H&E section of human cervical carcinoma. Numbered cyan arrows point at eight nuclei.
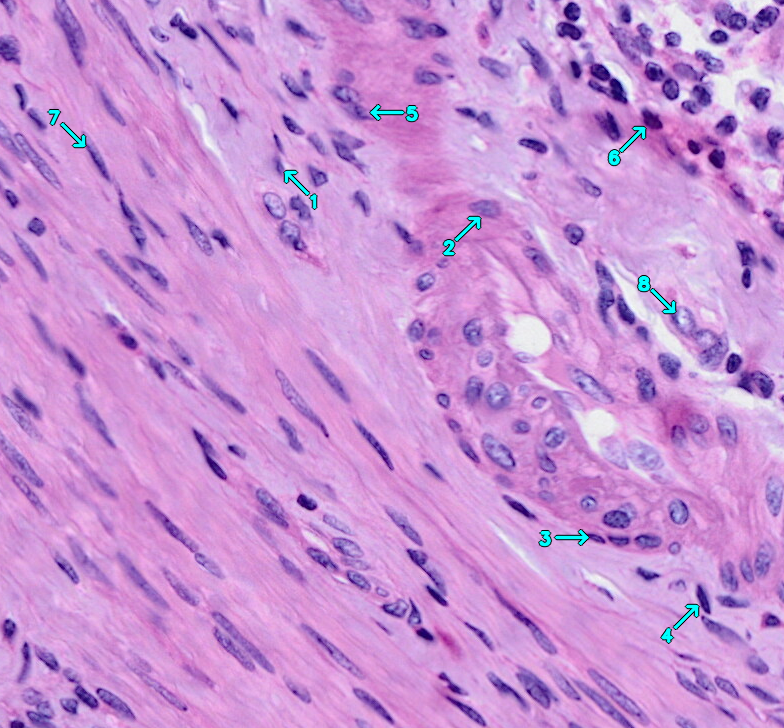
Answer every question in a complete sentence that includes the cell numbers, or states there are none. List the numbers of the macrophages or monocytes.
Not one numbered cell here is one of the macrophages or monocytes.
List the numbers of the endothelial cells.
There is just one numbered cell that is an endothelial cell, and it is cell 8.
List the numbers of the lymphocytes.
Only the cell at mark 6 is a lymphocyte, and no other marked cell is.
